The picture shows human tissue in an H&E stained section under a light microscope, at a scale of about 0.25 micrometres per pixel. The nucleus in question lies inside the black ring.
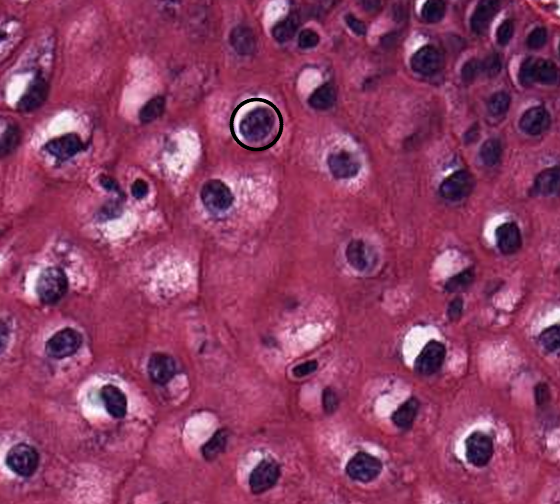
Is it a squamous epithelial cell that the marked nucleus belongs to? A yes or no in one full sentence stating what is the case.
Yes, the marked nucleus forms part of a squamous epithelial cell.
